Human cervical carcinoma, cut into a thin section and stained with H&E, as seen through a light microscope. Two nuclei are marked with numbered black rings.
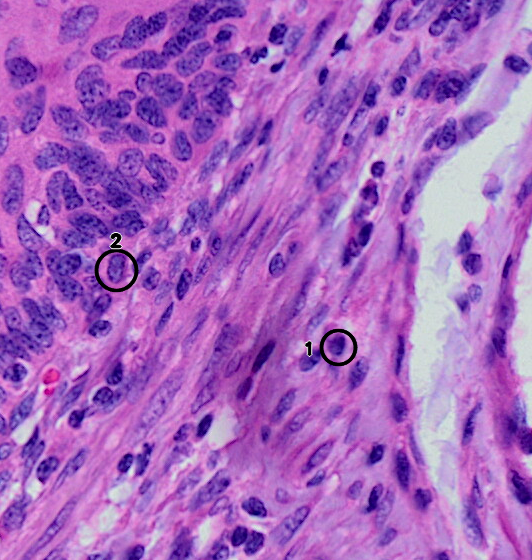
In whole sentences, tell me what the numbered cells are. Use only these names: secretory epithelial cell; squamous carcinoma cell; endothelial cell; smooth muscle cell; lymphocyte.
Cell 1 is a lymphocyte and cell 2 is a squamous carcinoma cell.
